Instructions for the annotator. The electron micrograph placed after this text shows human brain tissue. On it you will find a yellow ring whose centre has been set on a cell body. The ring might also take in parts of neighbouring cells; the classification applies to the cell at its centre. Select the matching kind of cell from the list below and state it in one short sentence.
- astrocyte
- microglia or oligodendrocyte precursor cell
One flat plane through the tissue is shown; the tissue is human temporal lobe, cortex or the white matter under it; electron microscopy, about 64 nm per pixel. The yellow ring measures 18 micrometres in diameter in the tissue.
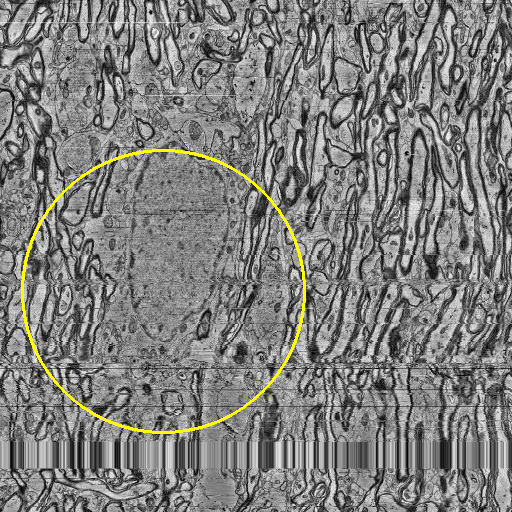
The ring is drawn on the cell body of an astrocyte.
